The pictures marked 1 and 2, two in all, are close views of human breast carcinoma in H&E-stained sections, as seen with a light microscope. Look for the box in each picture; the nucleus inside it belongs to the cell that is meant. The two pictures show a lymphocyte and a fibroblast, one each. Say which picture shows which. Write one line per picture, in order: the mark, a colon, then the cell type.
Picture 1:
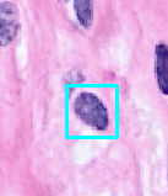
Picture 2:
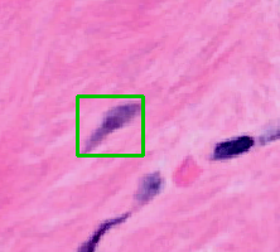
1: lymphocyte
2: fibroblast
